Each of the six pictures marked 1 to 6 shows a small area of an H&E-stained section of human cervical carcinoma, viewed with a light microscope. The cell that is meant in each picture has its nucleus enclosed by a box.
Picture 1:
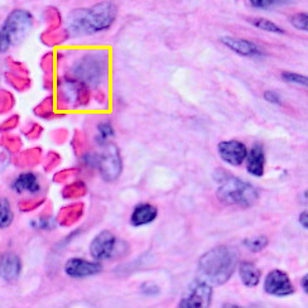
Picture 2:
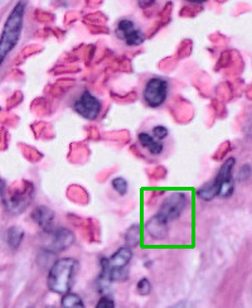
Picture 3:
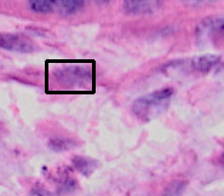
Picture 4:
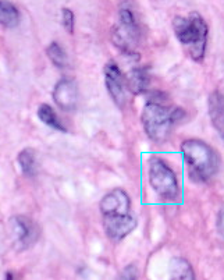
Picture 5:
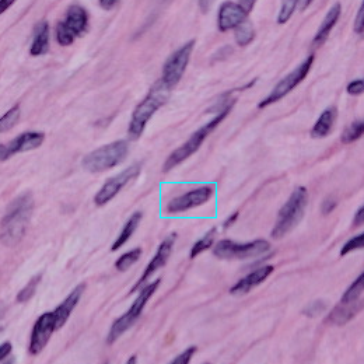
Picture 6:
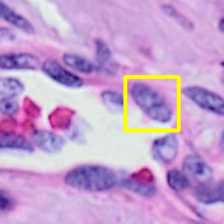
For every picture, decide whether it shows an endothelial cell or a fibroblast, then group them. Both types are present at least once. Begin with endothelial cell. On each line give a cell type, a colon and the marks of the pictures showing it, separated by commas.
endothelial cell: 1, 2, 4, 6
fibroblast: 3, 5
